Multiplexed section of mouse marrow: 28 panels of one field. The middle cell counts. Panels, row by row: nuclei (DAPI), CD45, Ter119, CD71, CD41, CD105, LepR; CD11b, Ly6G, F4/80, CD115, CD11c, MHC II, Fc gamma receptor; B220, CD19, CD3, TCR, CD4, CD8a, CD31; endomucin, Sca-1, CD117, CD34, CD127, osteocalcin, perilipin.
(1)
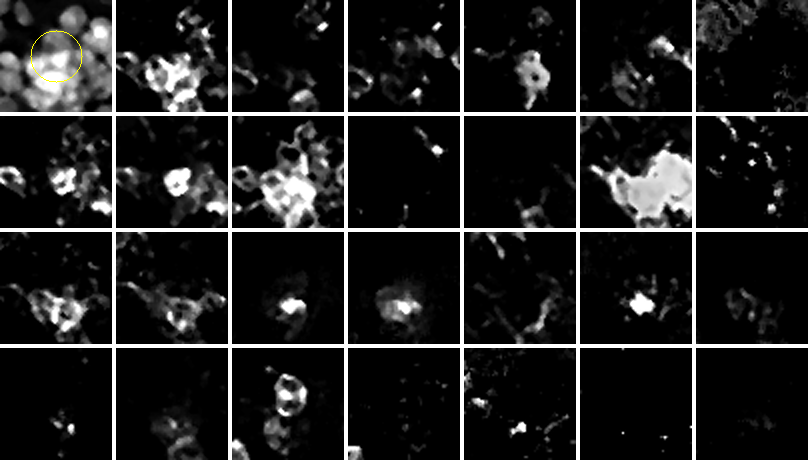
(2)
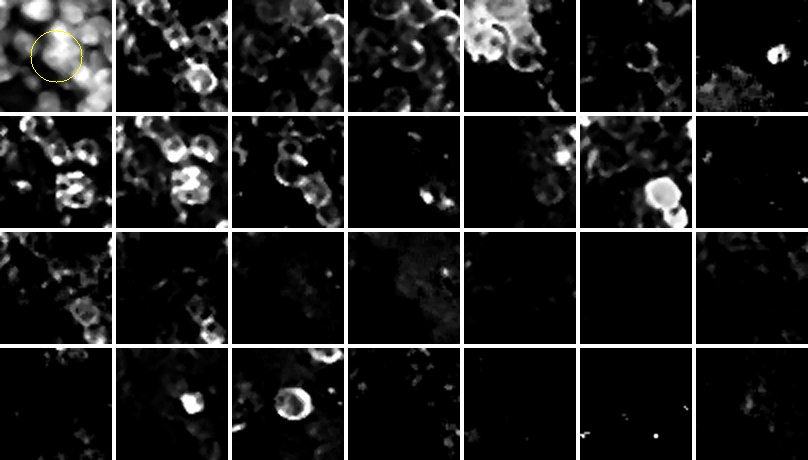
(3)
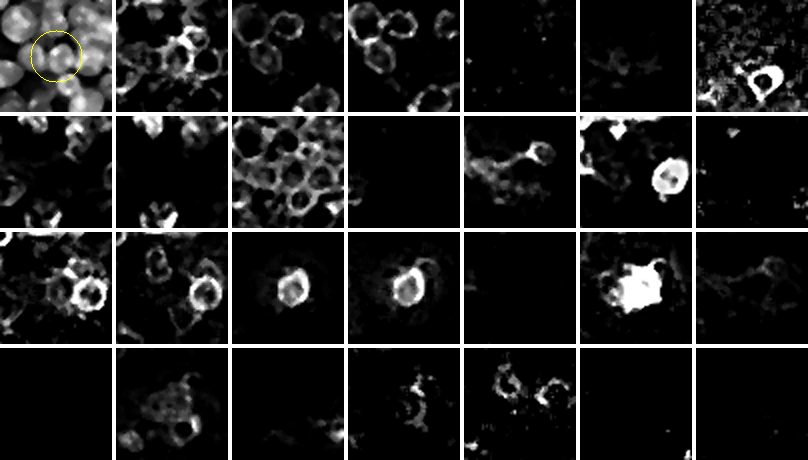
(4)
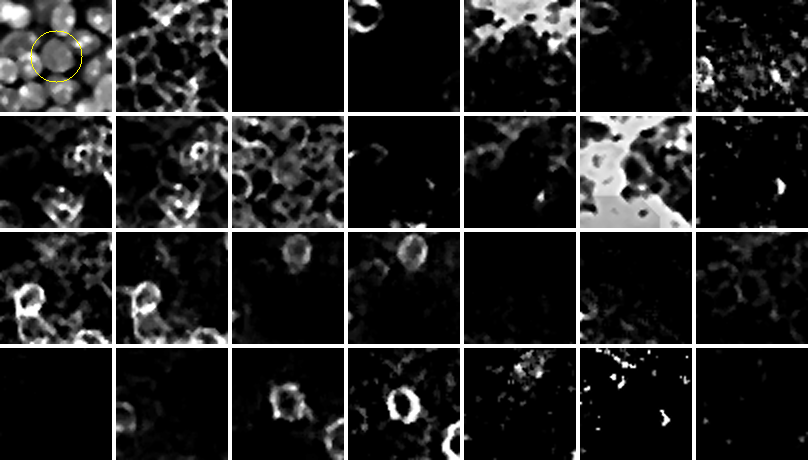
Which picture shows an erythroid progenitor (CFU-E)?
Picture 2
